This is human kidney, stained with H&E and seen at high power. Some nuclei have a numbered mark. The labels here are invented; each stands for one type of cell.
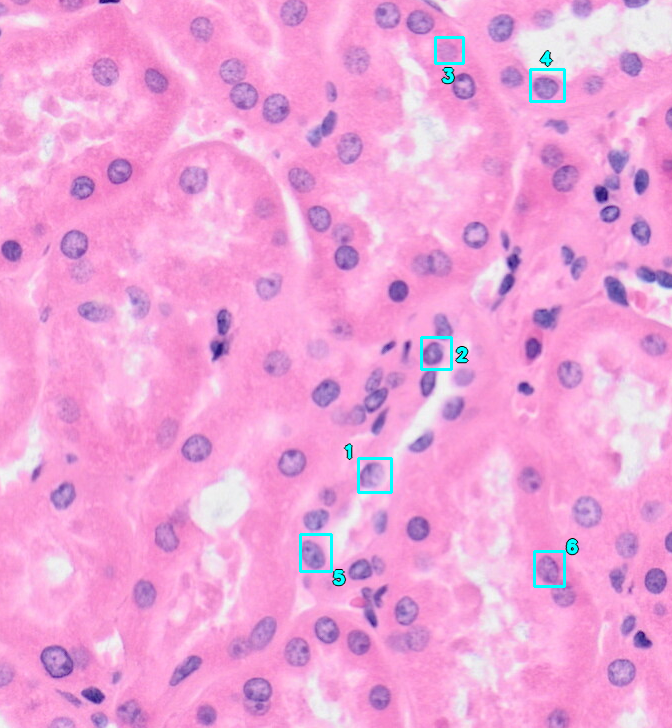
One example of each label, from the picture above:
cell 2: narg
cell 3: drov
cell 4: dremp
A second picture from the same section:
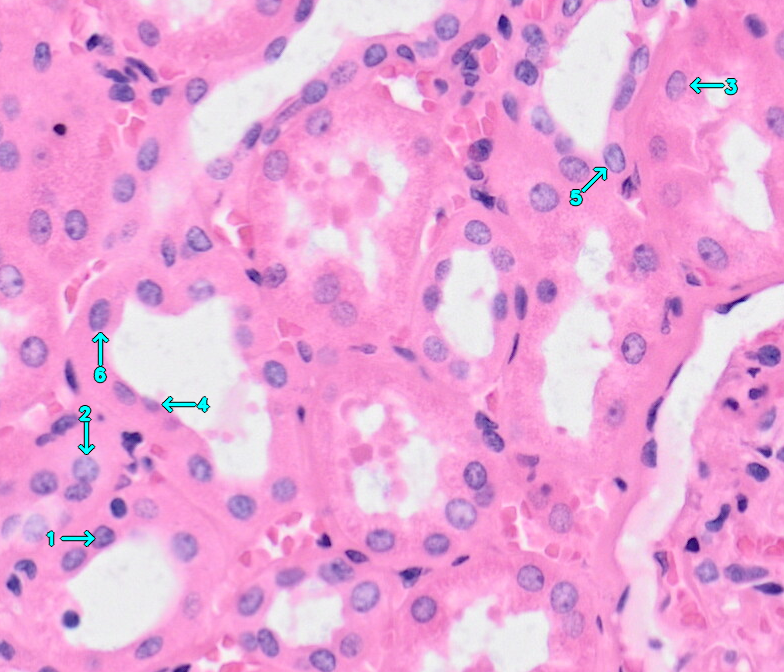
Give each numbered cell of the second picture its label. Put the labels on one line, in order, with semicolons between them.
dremp; narg; drov; dremp; narg; dremp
